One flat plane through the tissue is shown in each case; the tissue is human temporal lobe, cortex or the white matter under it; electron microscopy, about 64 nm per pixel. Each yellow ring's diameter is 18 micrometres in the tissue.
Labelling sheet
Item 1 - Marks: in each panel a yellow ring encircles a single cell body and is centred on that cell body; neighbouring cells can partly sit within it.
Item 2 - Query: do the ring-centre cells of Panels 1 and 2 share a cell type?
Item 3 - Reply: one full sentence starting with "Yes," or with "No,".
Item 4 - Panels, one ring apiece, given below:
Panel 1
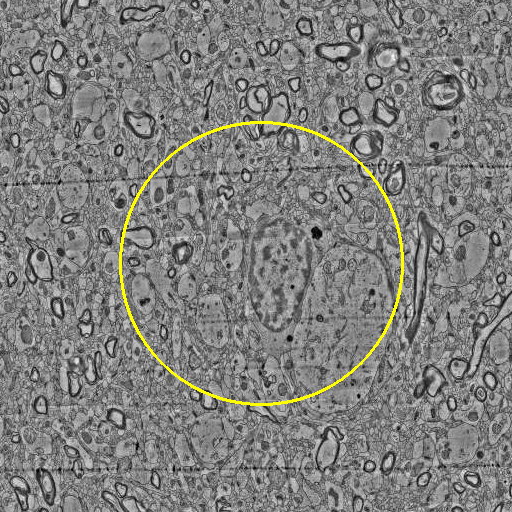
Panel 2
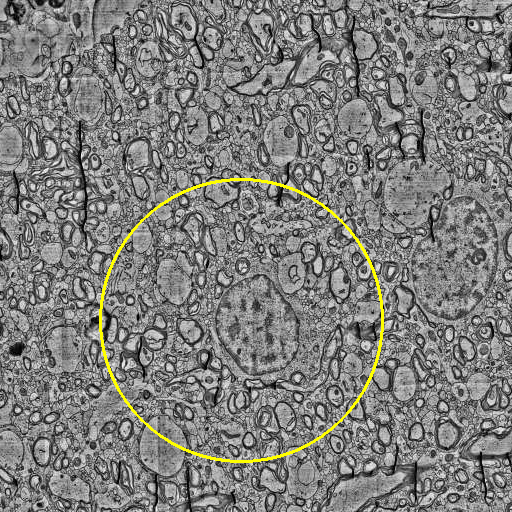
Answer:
Yes, Panel 1 and Panel 2 show one cell type at the centres of their rings.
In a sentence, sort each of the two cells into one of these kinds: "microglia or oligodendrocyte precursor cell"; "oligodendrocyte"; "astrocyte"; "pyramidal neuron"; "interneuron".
In each picture the ringed cell is an oligodendrocyte.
